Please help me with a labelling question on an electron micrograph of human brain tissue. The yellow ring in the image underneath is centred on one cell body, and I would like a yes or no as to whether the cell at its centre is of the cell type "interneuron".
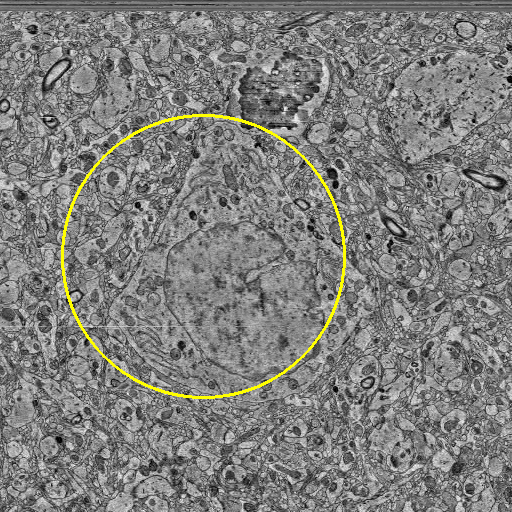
yes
